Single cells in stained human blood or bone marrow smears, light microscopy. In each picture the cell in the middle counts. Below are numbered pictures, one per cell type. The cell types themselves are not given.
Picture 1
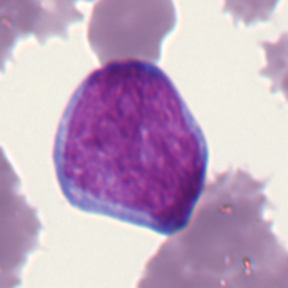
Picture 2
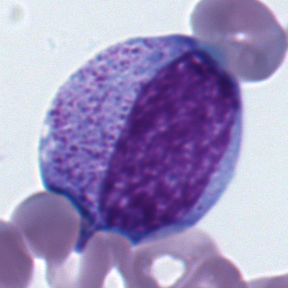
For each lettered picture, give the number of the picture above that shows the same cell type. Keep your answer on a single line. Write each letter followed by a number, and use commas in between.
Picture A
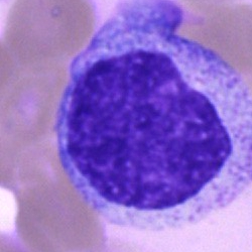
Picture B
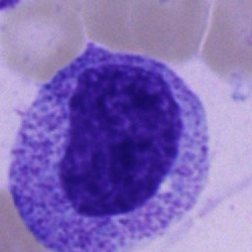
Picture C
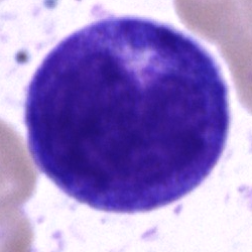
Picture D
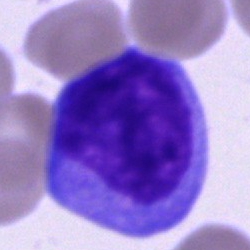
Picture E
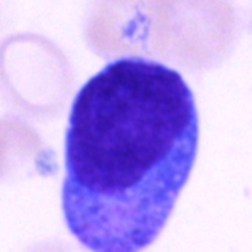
A 2, B 2, C 2, D 1, E 2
